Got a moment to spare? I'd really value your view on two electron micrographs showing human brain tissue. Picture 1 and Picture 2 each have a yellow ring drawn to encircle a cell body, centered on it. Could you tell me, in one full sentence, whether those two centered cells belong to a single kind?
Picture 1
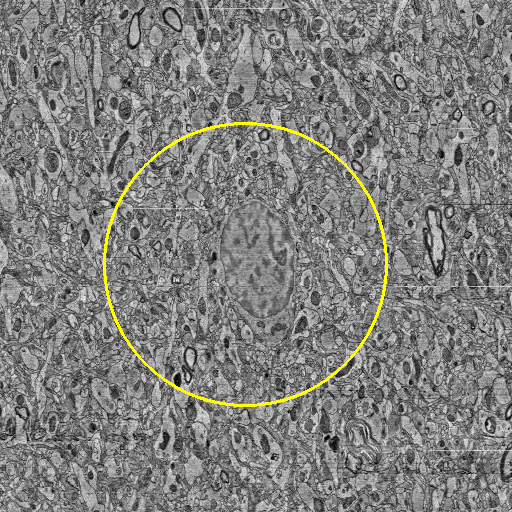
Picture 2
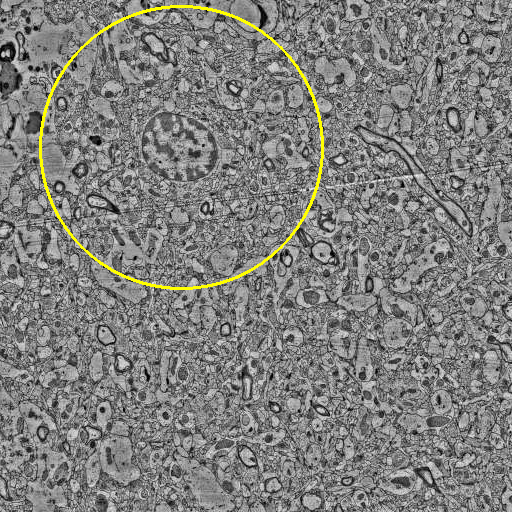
No, the two centered cells in Picture 1 and Picture 2 are of two kinds.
